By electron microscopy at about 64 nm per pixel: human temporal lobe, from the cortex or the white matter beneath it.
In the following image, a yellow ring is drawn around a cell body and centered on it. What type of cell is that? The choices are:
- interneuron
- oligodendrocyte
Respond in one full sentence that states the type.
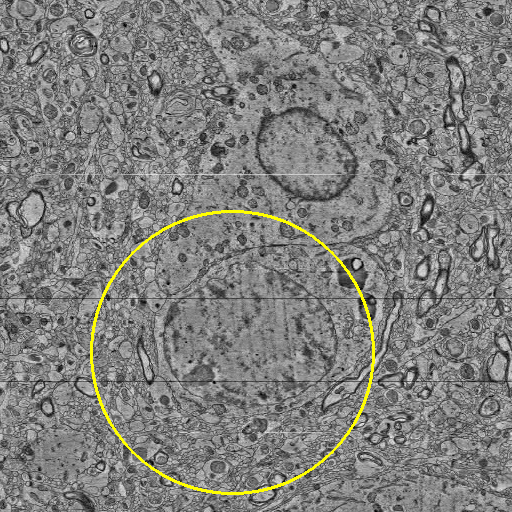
The cell at the center of the yellow ring in the image is an interneuron.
